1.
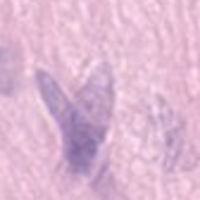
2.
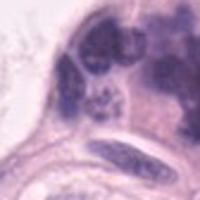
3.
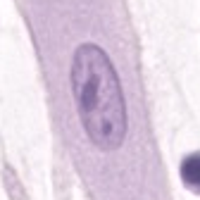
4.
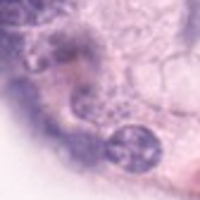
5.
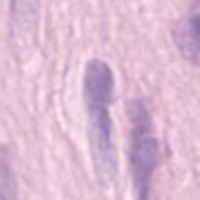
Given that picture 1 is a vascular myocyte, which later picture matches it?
5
